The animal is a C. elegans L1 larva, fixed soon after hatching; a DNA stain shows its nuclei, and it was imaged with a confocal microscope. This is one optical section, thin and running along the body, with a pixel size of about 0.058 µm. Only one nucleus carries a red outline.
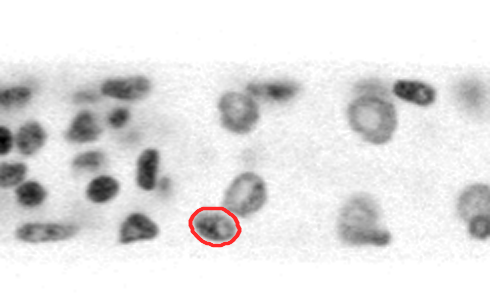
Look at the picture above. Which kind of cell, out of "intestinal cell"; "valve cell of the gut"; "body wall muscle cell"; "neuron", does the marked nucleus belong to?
body wall muscle cell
